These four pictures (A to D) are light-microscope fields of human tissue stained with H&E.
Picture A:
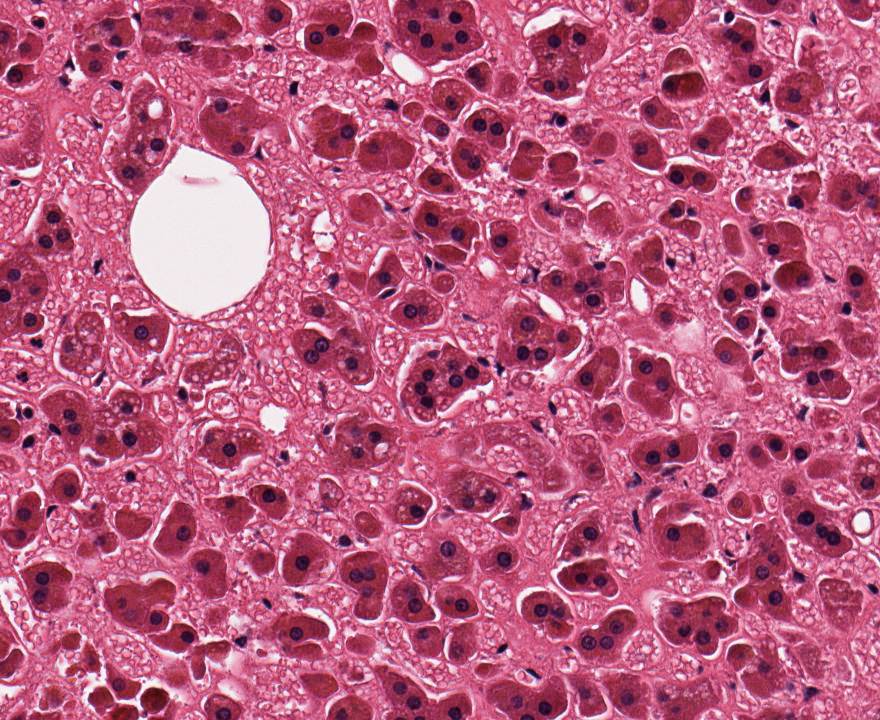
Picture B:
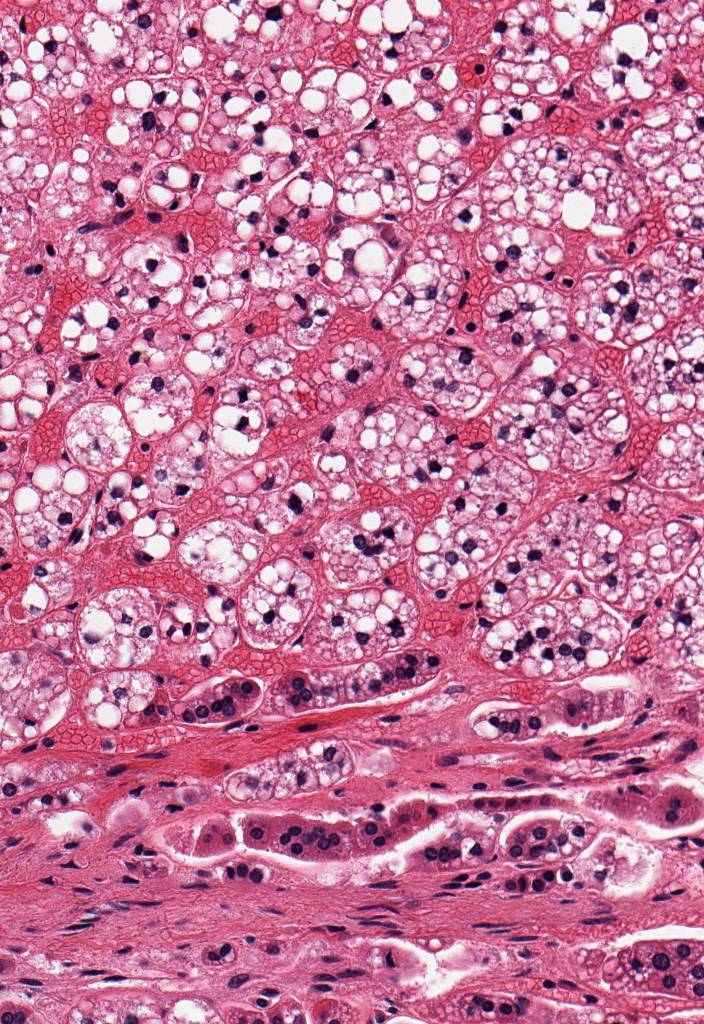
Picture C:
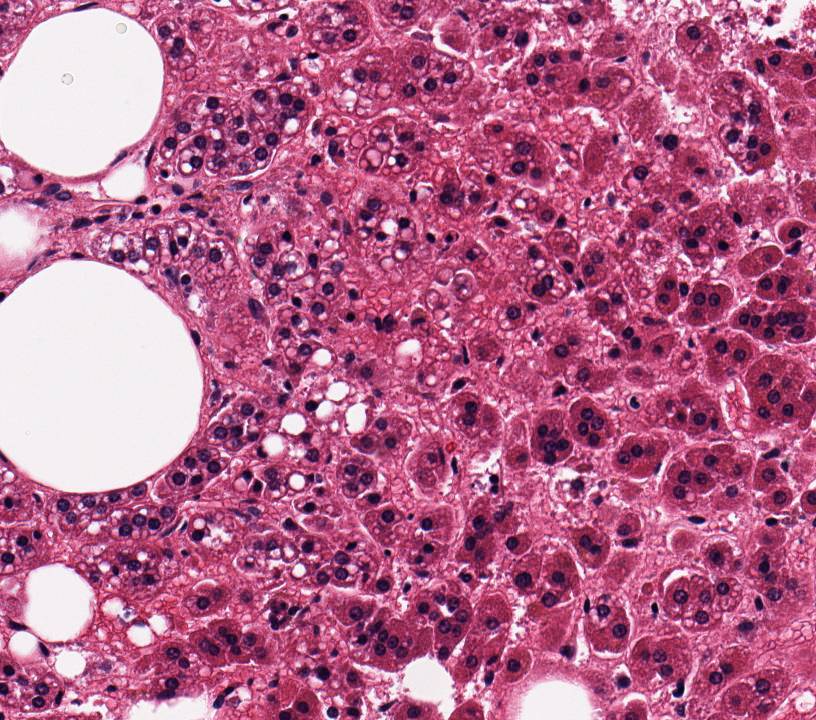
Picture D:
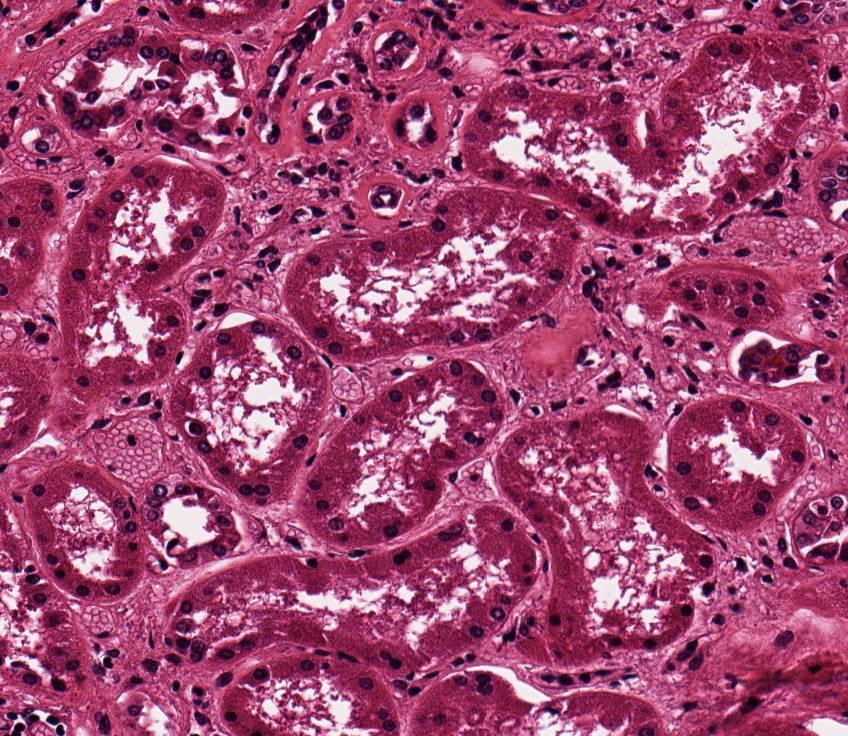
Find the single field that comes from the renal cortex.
D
